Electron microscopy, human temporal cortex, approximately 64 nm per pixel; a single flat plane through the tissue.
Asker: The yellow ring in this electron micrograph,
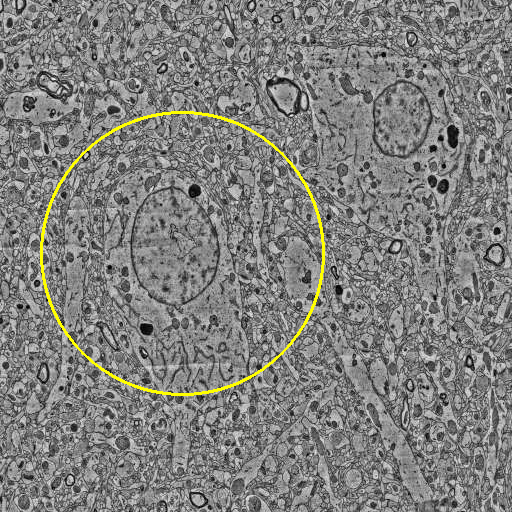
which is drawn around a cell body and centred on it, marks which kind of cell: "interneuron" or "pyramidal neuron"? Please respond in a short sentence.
The marked cell is a pyramidal neuron.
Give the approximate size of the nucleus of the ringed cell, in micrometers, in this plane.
The nucleus works out at approximately 8 by 6 micrometres in this plane.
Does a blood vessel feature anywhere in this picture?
No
